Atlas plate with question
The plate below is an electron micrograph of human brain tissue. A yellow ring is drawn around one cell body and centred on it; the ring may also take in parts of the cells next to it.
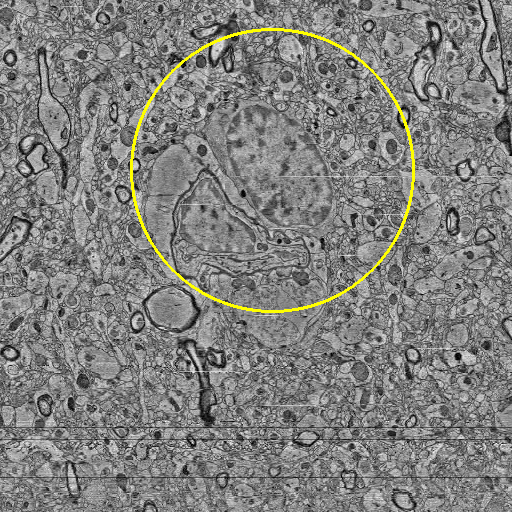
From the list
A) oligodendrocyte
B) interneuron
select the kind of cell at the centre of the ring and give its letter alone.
A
